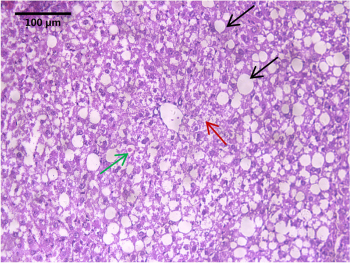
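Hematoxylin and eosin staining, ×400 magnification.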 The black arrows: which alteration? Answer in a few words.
hepatic cell steatosis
